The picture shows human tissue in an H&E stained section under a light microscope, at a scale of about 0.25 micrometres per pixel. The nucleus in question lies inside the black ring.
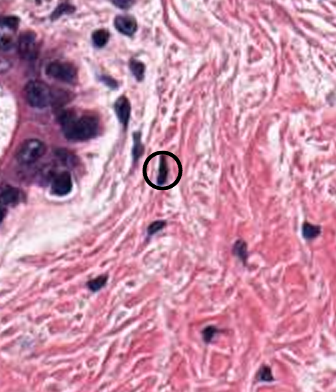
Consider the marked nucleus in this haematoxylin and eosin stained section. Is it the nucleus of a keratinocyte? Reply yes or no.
no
